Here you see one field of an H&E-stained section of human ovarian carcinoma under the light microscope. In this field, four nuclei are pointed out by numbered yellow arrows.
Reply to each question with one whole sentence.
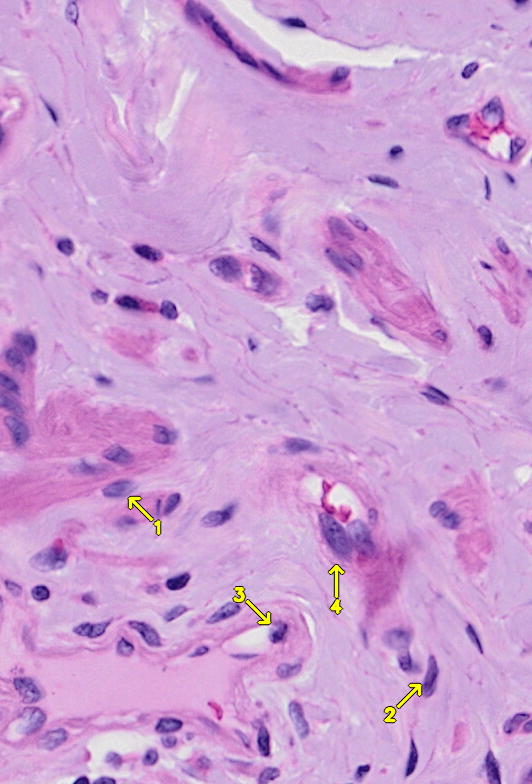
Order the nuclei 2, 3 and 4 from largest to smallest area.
The nuclei rank 4, 2, 3, from largest to smallest.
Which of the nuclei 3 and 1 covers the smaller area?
With nucleus 1 about 1.5 times its size, nucleus 3 is the smaller of the two.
